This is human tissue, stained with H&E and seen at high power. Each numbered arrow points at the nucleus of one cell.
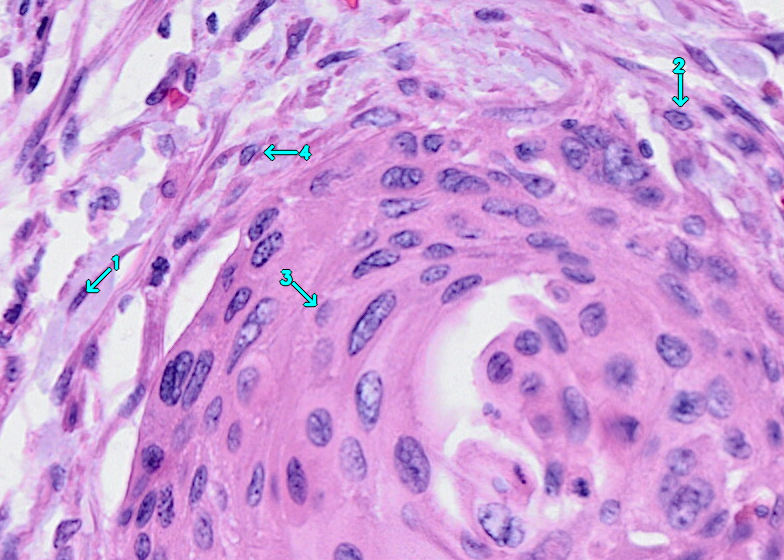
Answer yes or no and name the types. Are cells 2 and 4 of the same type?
No, cell number 2 is a macrophage or monocyte and cell number 4 is a fibroblast.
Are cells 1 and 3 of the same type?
No, cell 1 is a fibroblast, whereas cell 3, for its part, is a squamous carcinoma cell.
